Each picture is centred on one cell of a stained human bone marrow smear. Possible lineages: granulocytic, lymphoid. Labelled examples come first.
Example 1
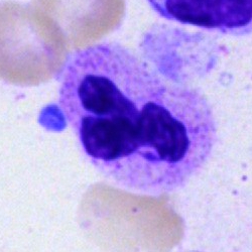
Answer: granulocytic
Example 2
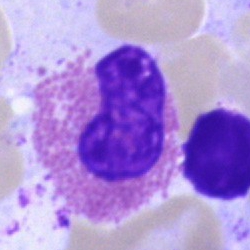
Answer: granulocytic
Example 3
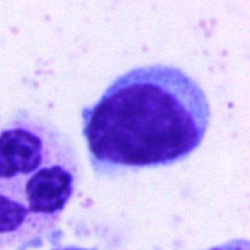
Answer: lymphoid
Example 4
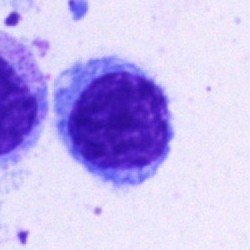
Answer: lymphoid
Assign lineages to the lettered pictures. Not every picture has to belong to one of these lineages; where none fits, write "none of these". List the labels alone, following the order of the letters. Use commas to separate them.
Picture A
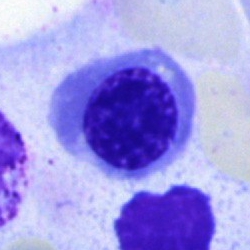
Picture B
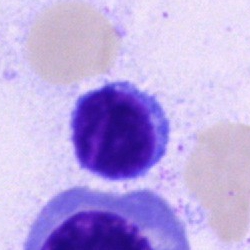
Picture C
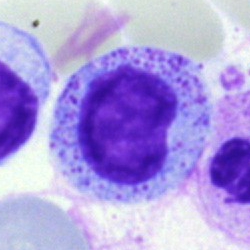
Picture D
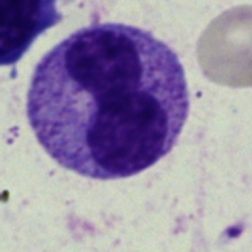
none of these, lymphoid, granulocytic, granulocytic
